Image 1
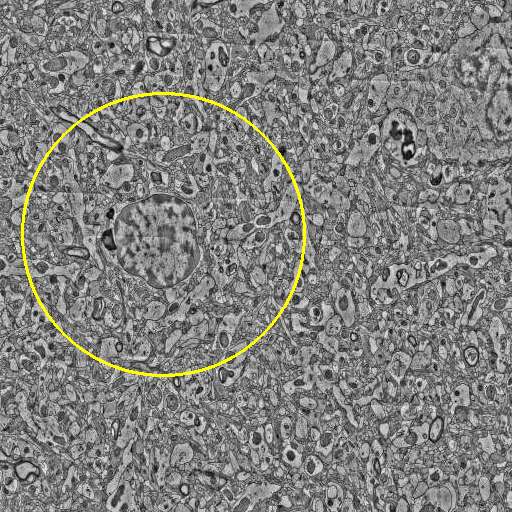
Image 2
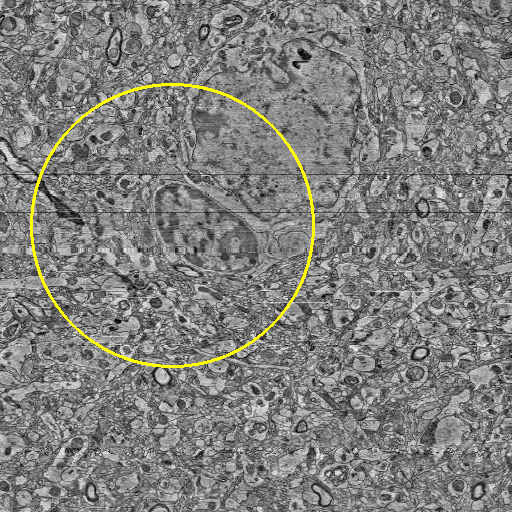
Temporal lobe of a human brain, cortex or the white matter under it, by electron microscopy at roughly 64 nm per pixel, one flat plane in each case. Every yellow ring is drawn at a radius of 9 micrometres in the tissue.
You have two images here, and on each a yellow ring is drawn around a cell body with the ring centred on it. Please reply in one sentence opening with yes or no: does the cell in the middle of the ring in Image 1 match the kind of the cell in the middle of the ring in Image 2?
Yes, the two images show cells of one kind at the centres of their rings.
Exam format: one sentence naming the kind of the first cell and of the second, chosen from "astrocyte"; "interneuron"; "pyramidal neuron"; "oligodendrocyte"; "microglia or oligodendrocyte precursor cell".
Each cell, in the first picture and the second, is a microglial cell or oligodendrocyte precursor cell.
